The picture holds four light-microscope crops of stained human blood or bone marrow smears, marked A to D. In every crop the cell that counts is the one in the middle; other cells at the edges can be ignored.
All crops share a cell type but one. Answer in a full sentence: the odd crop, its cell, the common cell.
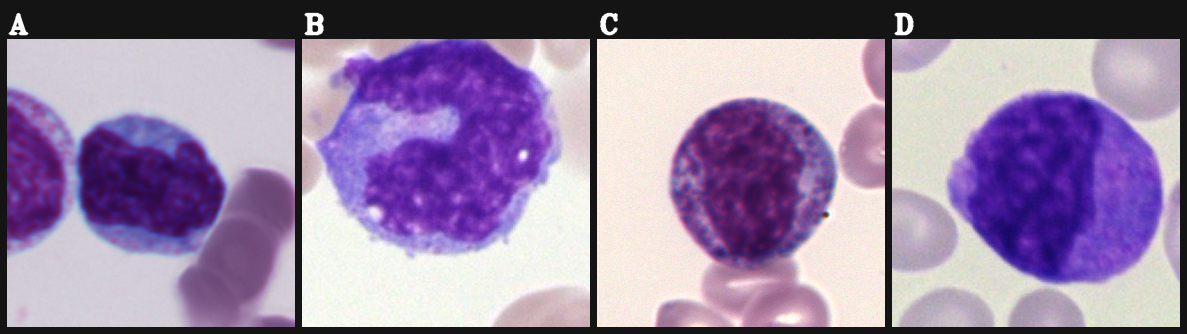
Just crop C is a myelocyte; all the other crops show monocytes.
